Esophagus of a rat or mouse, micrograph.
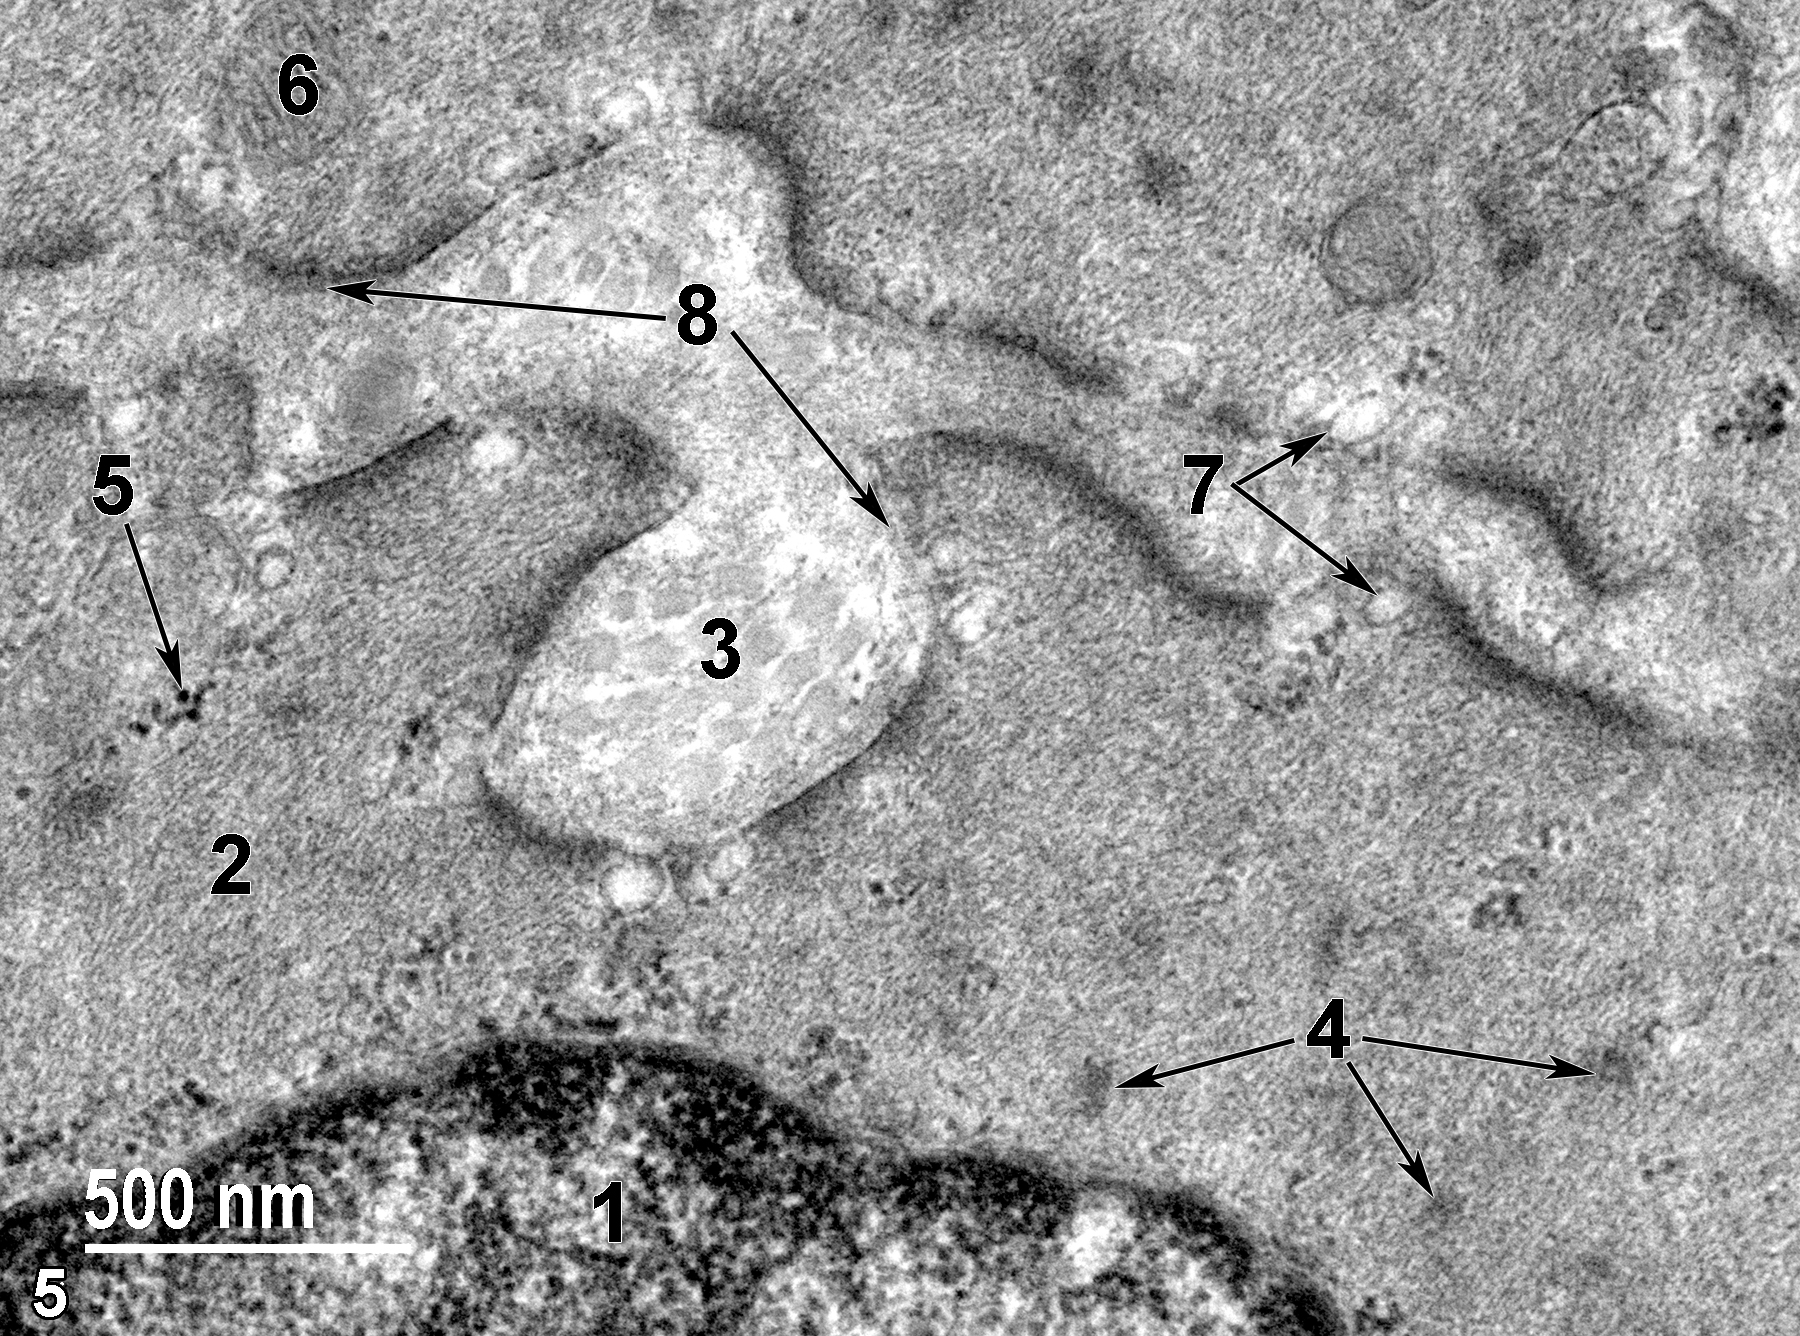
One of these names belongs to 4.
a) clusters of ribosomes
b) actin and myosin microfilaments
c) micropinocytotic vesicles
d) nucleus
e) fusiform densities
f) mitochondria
e) fusiform densities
